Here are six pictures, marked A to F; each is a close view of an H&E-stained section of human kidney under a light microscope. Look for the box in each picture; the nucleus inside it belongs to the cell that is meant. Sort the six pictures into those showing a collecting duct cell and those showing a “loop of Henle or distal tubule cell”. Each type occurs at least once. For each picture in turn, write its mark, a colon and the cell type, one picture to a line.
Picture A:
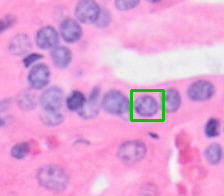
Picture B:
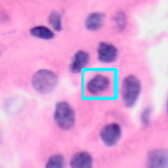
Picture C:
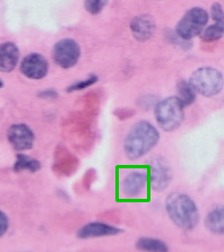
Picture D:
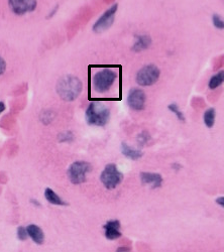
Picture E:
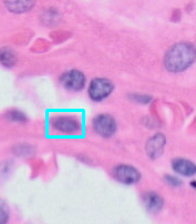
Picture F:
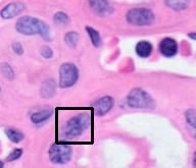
A: collecting duct cell
B: loop of Henle or distal tubule cell
C: collecting duct cell
D: loop of Henle or distal tubule cell
E: loop of Henle or distal tubule cell
F: collecting duct cell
